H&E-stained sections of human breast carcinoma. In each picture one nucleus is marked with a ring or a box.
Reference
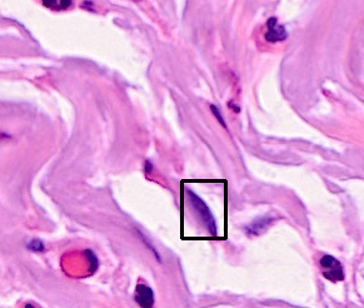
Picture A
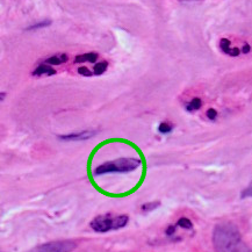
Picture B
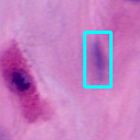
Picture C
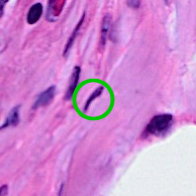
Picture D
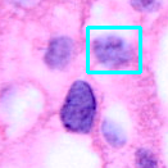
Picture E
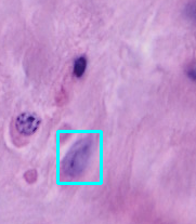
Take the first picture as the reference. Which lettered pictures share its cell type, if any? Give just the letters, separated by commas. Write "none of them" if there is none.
A, B, C, E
